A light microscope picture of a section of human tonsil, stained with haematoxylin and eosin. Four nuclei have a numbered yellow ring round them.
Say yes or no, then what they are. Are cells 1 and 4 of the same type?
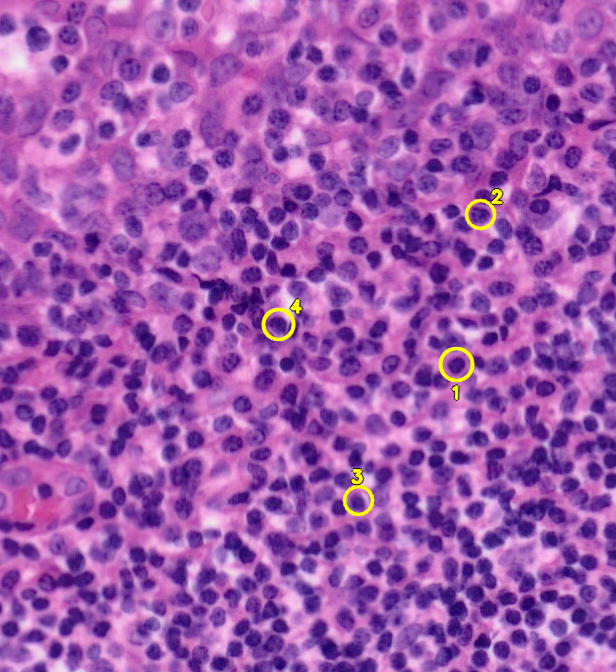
No, classify cell 1 as a plasma cell and cell 4 as a small lymphocyte.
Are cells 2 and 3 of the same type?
No, the cell bearing number 2 is a plasma cell, while the one bearing number 3 is a small lymphocyte.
